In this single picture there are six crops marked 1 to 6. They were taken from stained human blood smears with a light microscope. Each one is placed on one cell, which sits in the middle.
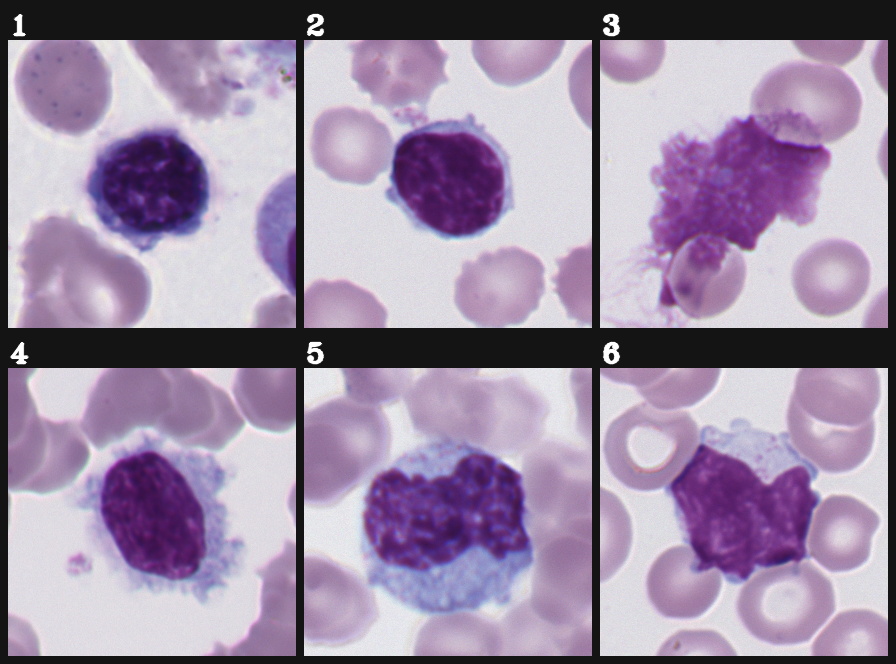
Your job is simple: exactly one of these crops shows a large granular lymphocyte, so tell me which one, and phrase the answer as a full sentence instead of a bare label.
Crop 6 is the one in this set that shows a large granular lymphocyte.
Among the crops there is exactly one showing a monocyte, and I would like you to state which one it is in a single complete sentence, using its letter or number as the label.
In this series, a monocyte is shown by crop 5.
